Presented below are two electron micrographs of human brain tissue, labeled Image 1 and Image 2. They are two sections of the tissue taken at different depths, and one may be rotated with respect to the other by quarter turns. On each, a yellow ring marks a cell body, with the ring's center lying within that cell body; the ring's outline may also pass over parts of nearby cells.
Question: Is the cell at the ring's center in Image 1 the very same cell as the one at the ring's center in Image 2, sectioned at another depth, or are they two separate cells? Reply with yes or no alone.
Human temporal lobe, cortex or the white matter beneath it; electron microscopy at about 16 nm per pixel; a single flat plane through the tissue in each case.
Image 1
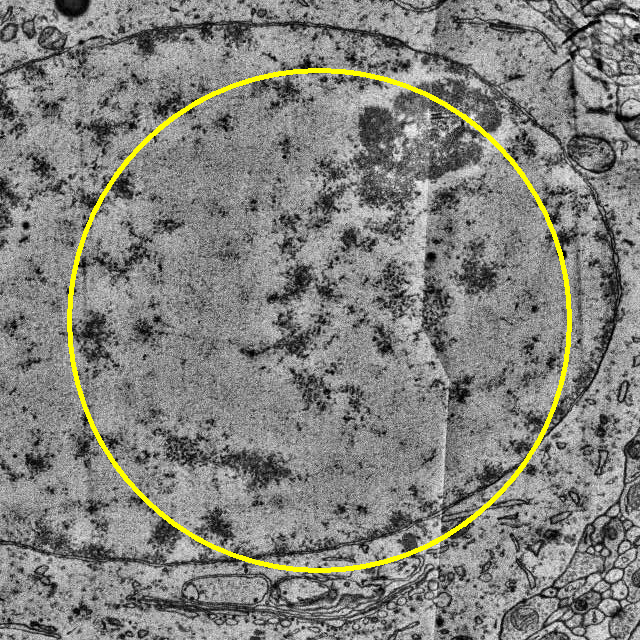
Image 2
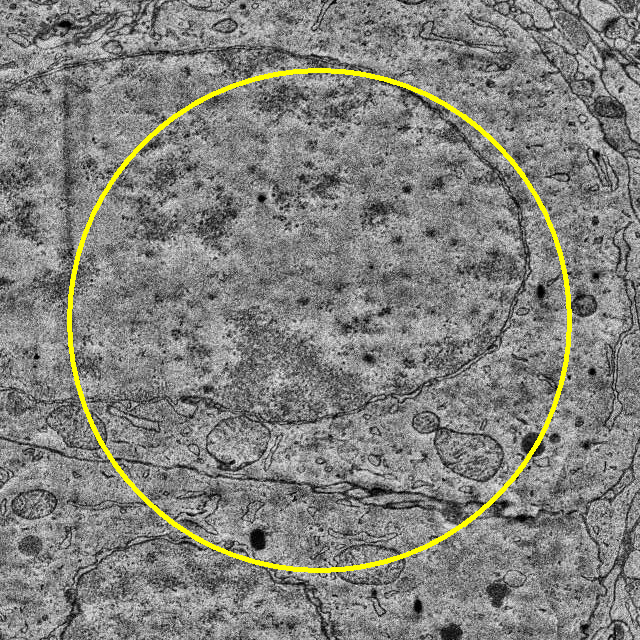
yes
